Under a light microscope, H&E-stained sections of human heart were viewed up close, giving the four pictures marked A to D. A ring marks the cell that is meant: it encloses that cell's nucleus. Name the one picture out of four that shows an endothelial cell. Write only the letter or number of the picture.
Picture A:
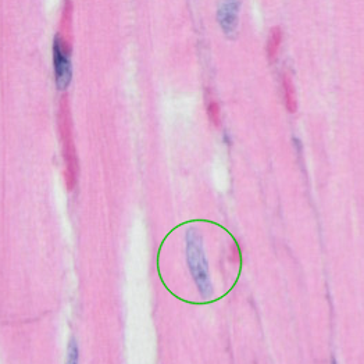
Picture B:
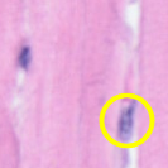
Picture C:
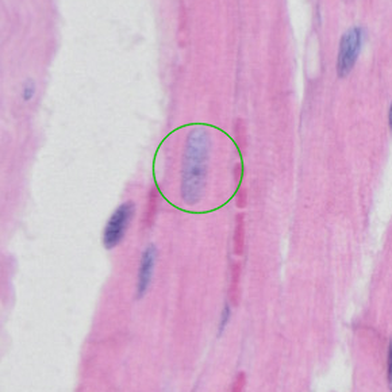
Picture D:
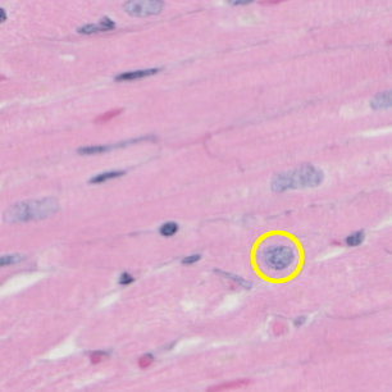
B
